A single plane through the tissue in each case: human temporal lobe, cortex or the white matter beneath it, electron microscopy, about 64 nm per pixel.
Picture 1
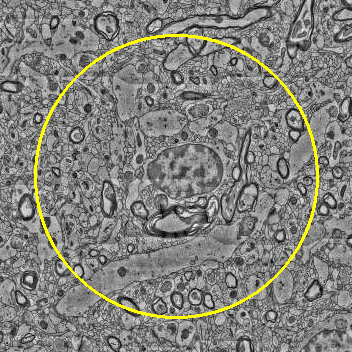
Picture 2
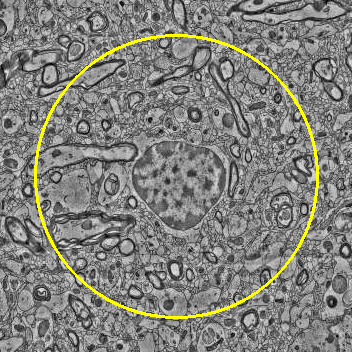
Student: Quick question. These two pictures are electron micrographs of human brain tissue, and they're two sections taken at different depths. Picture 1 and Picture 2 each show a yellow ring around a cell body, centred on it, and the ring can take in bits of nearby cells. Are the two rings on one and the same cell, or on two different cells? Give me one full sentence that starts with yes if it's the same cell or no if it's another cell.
Yes, both yellow rings mark one and the same cell.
